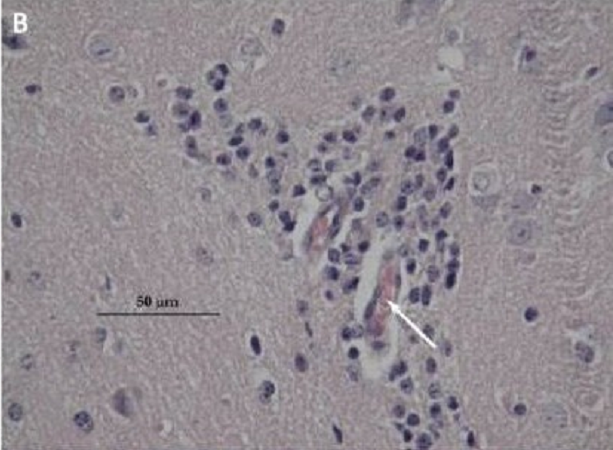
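Brain tissue with pale pink parenchyma is crossed by a small vessel that holds red blood cells. Around this vessel lies a dense cuff of small, round, darkly staining nuclei with scant cytoplasm, several layers deep, while the tissue further away has only scattered nuclei. These small round cells massed around the vessel wall form lymphocytic sleeves around capillaries, a sign of inflammation in the brain.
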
